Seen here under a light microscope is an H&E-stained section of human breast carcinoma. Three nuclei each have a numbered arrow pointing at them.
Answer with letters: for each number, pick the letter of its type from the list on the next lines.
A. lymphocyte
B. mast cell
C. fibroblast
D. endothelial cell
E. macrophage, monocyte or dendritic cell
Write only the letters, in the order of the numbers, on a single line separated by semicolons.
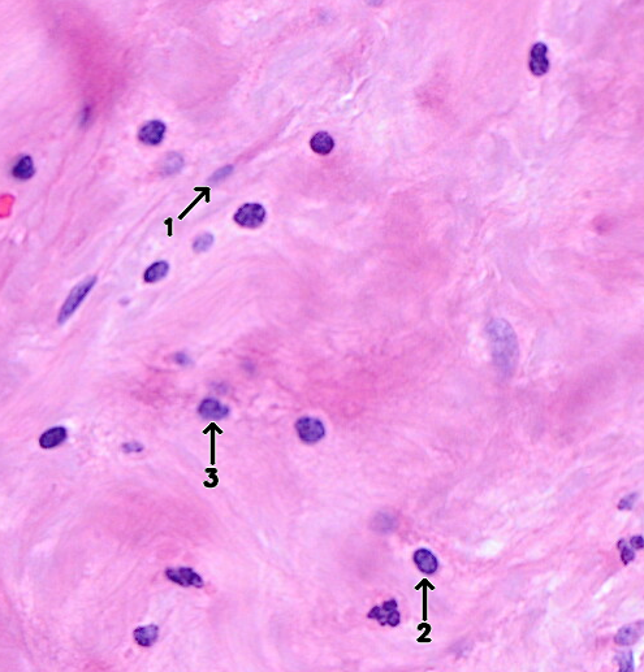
C; A; A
